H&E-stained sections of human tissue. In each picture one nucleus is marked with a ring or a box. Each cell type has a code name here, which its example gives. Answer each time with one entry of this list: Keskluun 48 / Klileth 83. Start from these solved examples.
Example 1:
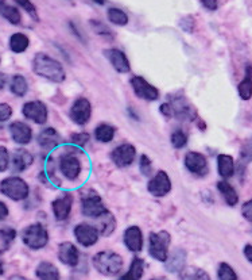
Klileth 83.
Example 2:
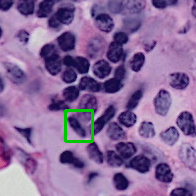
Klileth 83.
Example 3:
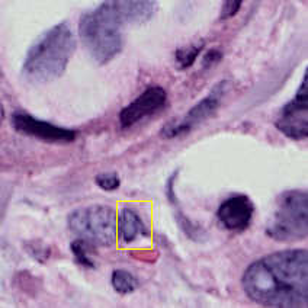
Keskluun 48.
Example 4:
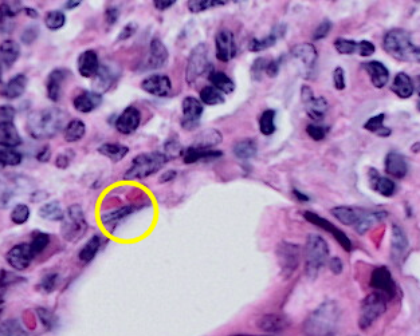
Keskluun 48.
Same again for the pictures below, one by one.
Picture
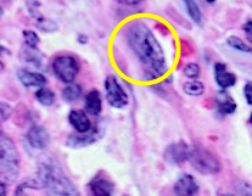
Keskluun 48.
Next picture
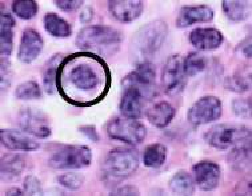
Klileth 83.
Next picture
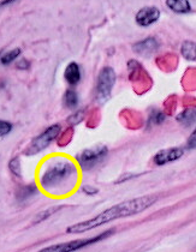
Keskluun 48.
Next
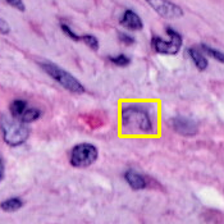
Keskluun 48.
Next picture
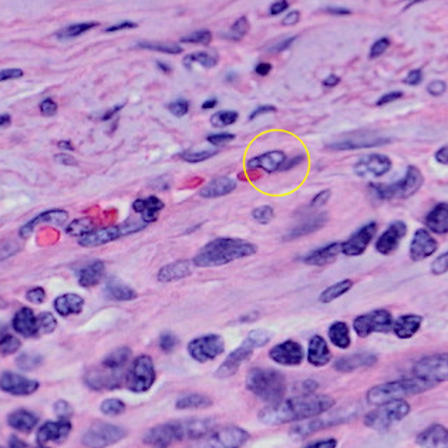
Keskluun 48.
